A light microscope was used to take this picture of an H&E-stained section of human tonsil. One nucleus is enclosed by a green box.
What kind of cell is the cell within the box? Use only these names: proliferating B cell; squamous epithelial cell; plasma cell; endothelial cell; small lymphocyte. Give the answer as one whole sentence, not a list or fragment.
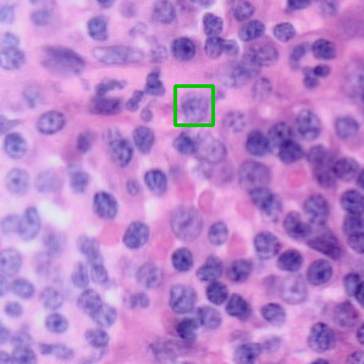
As a matter of cell type, the cell within the box is an endothelial cell.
